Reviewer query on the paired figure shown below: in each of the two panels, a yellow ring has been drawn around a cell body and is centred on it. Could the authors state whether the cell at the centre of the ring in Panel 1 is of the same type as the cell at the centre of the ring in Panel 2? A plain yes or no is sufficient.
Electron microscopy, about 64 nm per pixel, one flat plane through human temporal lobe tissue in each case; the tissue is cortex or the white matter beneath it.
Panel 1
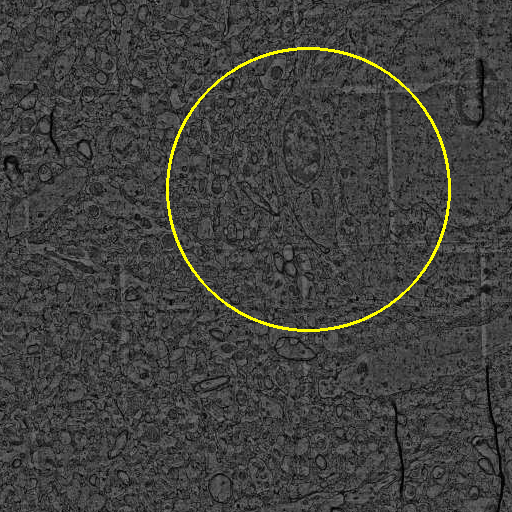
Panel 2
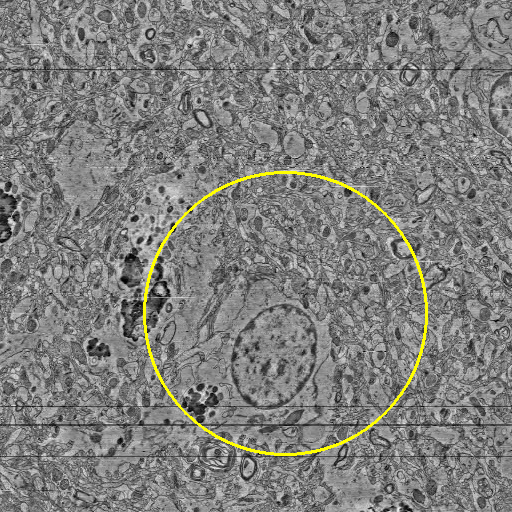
no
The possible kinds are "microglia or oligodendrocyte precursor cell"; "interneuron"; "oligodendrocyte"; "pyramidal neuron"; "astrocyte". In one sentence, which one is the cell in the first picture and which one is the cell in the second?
The cell ringed in the second picture is an astrocyte, whereas the one ringed in the first is an oligodendrocyte.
